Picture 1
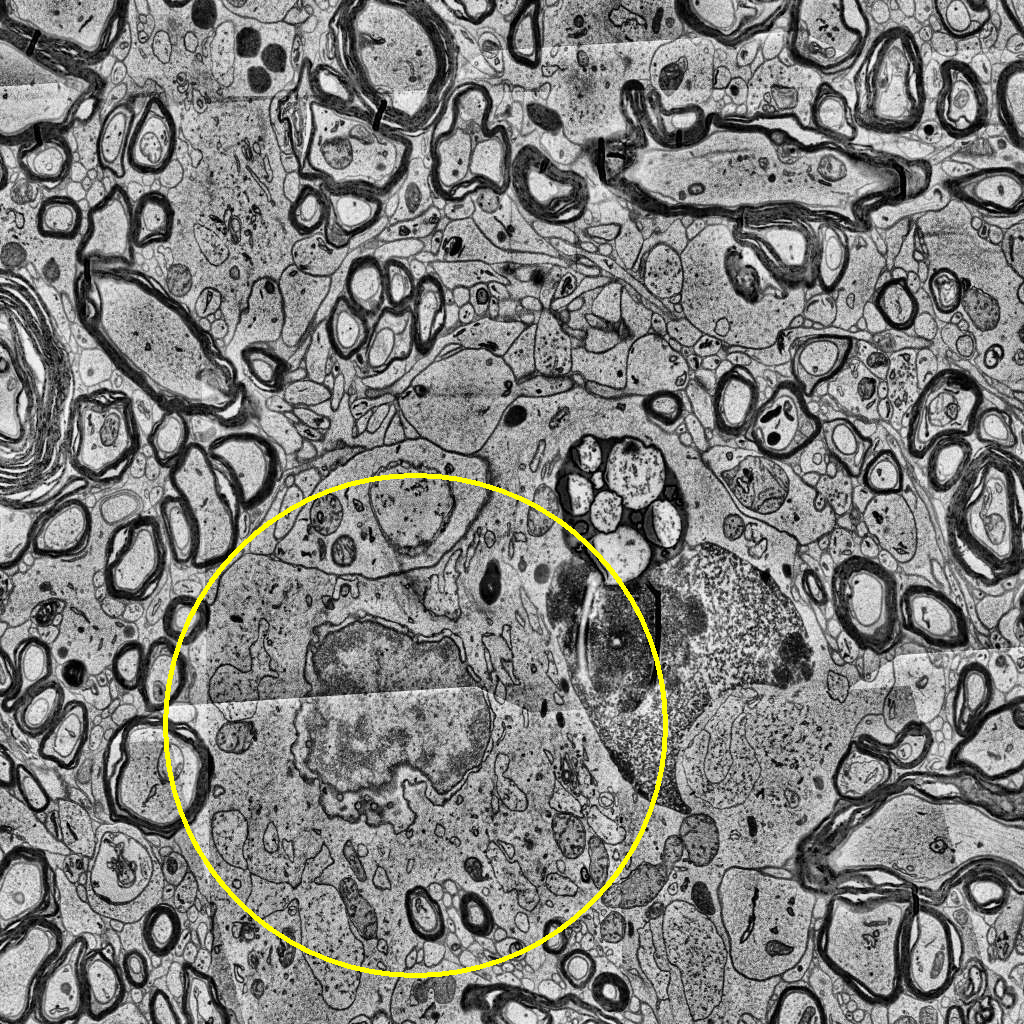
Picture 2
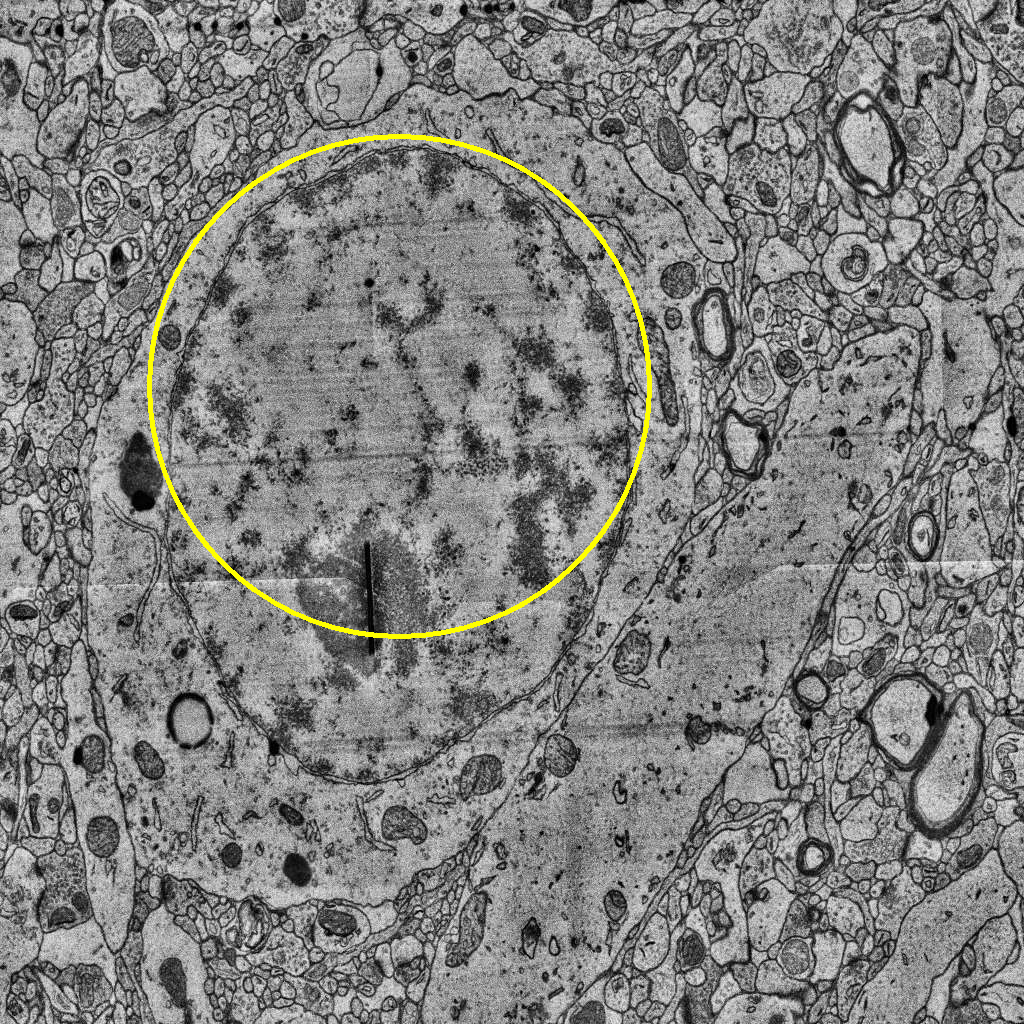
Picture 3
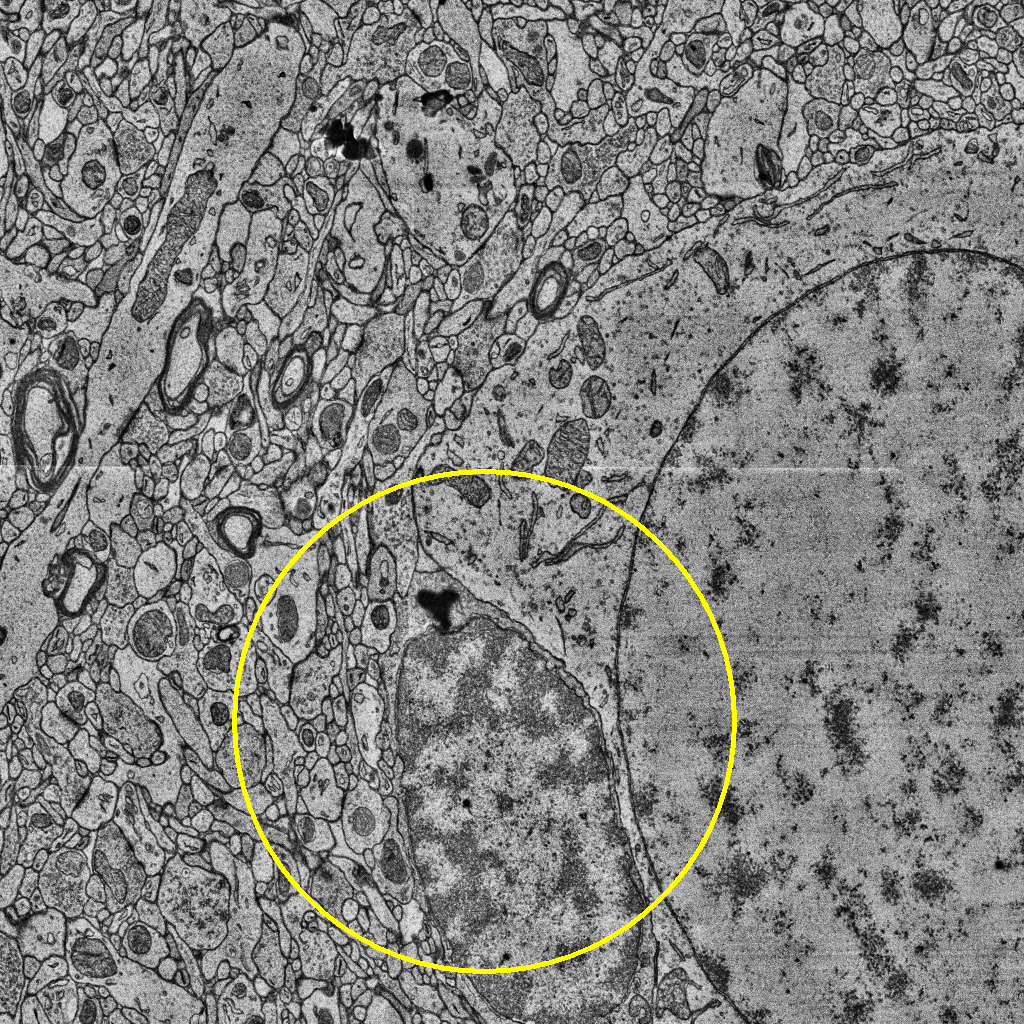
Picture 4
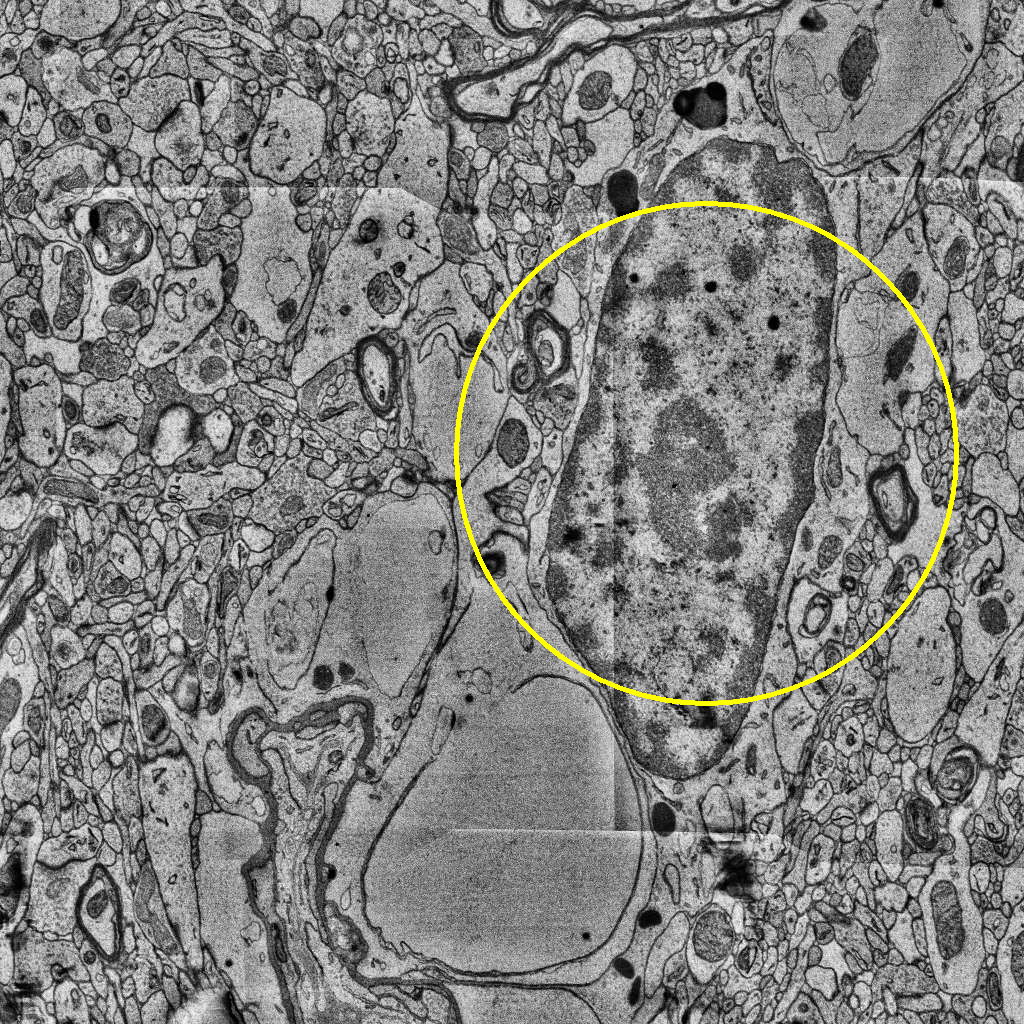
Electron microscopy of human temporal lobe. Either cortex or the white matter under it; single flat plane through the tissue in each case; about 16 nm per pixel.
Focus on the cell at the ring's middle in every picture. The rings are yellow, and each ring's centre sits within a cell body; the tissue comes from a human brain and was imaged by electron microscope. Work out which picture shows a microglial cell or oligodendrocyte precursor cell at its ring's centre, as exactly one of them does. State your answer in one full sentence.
In picture 4, the ring's centre lies inside the cell in question.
